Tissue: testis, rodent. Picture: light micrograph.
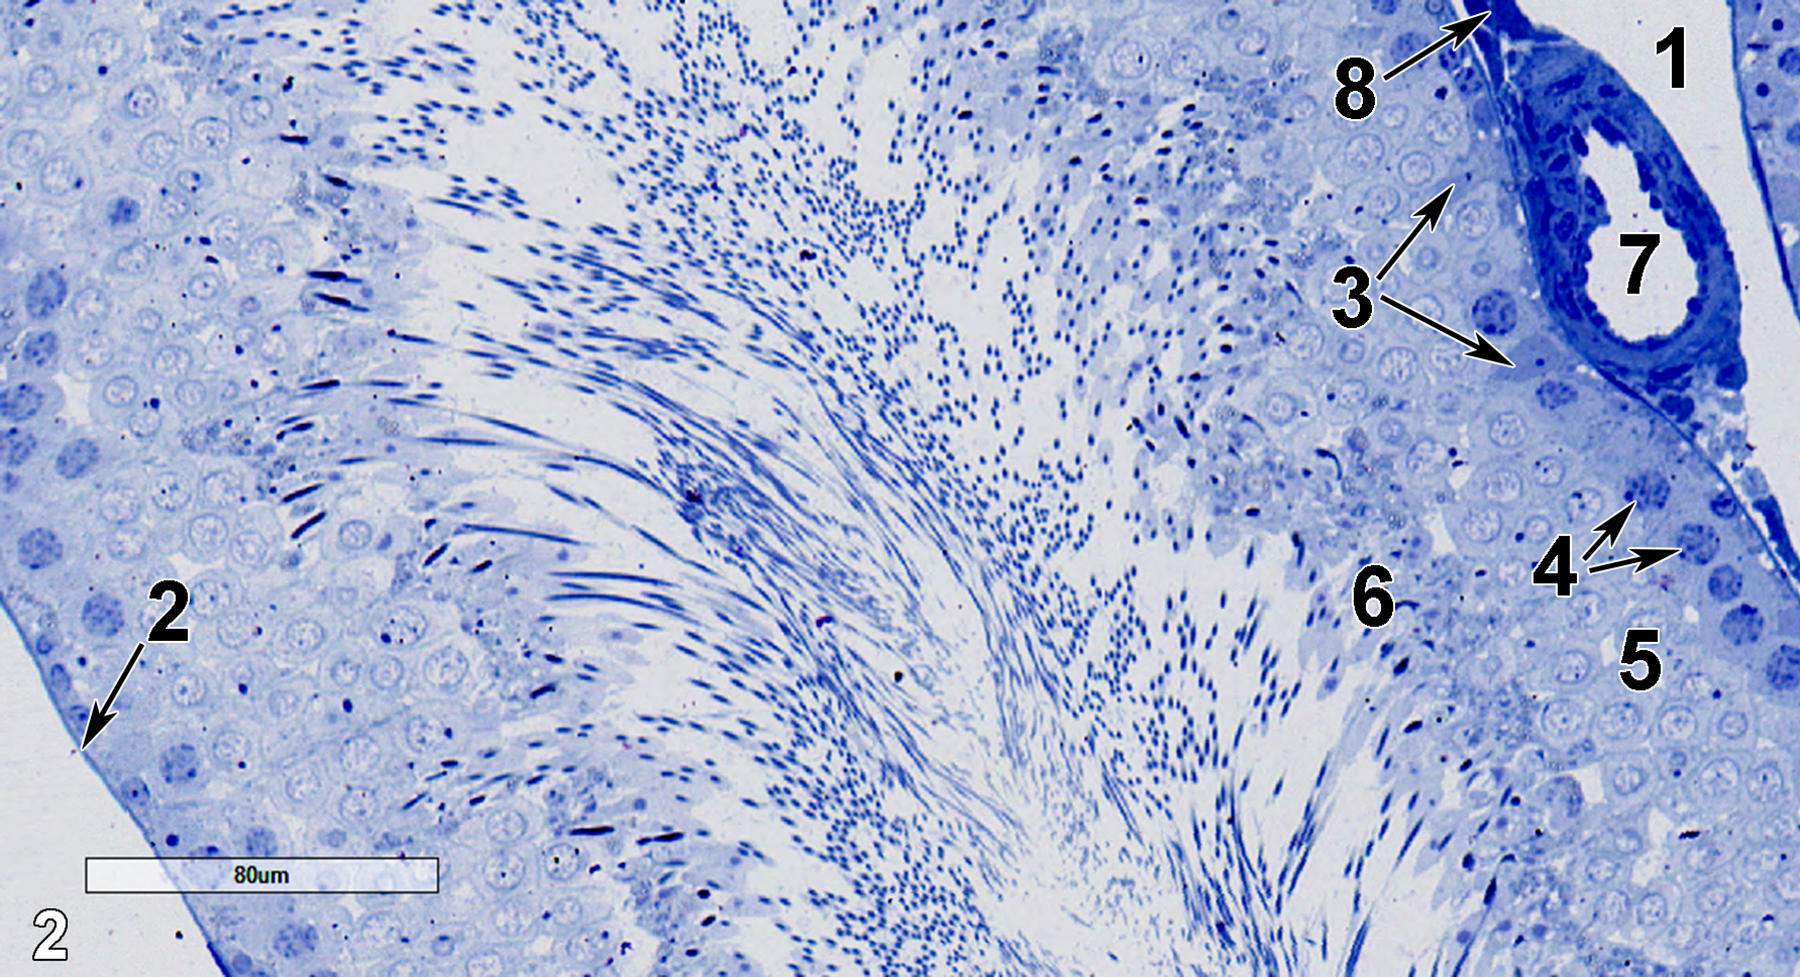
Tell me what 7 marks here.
At 7: arteriole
